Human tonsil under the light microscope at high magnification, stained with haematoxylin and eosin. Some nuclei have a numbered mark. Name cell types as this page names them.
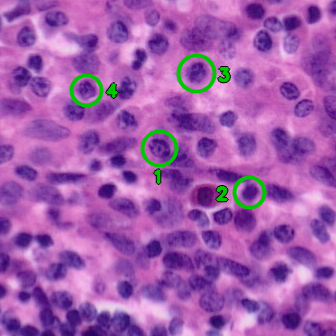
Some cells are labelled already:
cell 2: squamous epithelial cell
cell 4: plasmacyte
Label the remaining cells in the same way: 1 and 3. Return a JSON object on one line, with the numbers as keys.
{"1": "plasmacyte", "3": "plasmacyte"}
